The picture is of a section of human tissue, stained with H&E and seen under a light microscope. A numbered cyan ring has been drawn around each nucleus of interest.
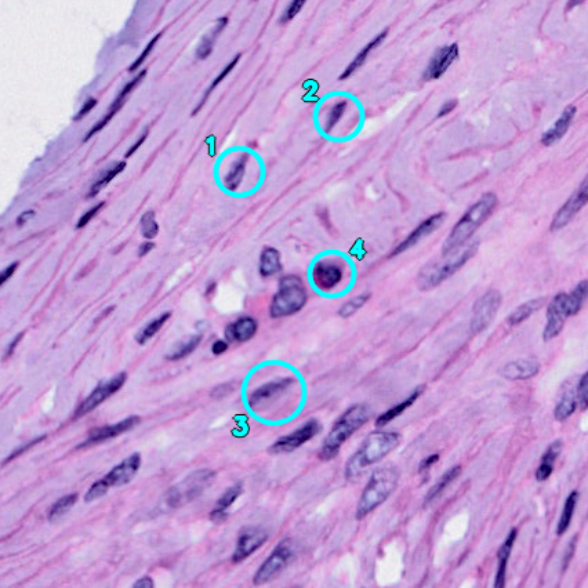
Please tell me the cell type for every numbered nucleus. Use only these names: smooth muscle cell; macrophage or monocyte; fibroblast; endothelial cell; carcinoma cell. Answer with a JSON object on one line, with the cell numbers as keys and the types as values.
{"1": "fibroblast", "2": "fibroblast", "3": "fibroblast", "4": "endothelial cell"}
